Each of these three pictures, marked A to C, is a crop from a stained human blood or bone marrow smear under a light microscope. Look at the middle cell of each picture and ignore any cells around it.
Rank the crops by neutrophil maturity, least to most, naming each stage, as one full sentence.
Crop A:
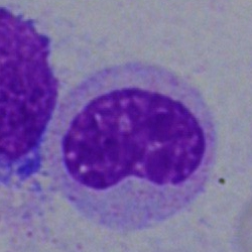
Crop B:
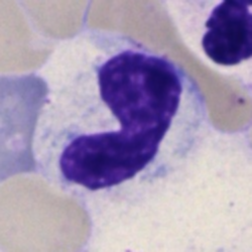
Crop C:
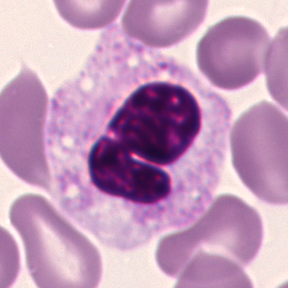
The order of increasing maturity among the crops is crop A (a metamyelocyte), crop B (a band neutrophil) and crop C (a segmented neutrophil).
